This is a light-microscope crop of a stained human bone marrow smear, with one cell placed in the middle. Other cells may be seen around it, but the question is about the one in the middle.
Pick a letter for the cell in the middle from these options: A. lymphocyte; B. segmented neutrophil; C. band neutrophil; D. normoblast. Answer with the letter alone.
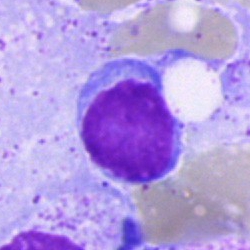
A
